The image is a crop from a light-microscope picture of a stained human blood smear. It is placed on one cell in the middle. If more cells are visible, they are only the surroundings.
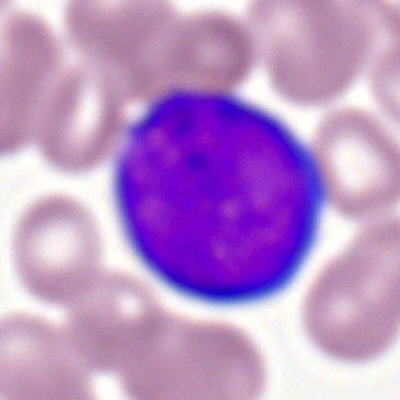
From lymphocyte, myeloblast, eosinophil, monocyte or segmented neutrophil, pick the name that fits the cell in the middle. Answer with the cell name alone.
myeloblast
